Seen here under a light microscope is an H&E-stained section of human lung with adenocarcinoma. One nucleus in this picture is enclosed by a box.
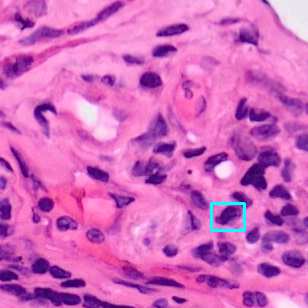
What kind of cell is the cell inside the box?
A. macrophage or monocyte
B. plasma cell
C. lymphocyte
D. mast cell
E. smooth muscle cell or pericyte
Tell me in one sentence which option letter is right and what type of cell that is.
Exactly as option C gives it, the cell inside the box is a lymphocyte.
